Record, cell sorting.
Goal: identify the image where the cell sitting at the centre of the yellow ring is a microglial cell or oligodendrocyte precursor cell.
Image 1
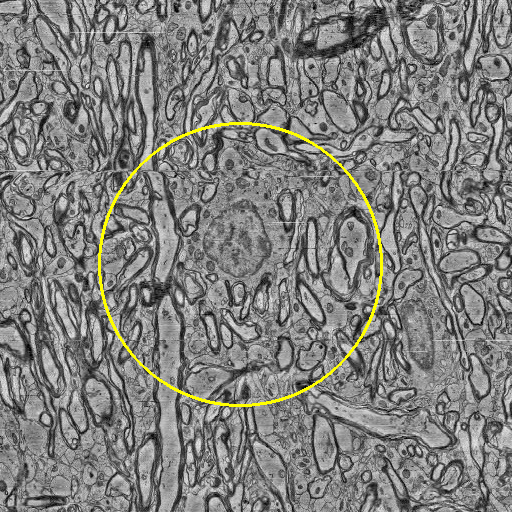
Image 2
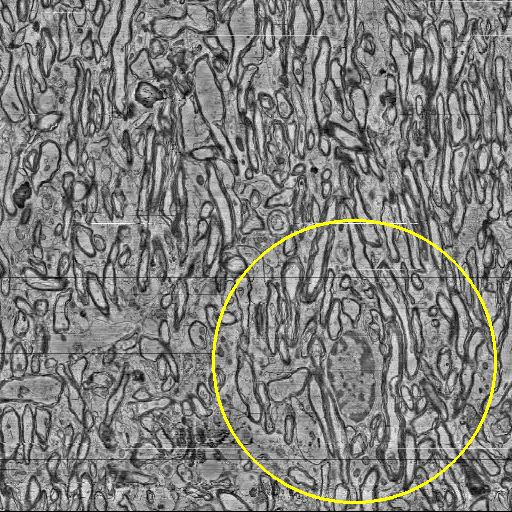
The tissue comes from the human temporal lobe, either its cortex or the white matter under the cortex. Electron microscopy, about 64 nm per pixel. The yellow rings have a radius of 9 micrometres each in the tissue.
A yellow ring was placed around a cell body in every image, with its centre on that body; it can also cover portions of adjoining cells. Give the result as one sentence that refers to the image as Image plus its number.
Image 2 shows the requested cell sitting right at the centre of its ring.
